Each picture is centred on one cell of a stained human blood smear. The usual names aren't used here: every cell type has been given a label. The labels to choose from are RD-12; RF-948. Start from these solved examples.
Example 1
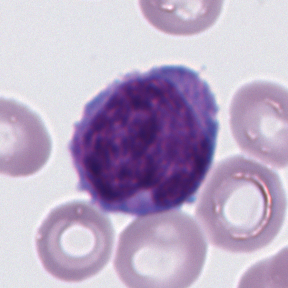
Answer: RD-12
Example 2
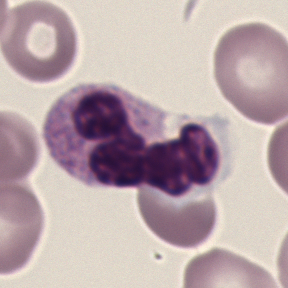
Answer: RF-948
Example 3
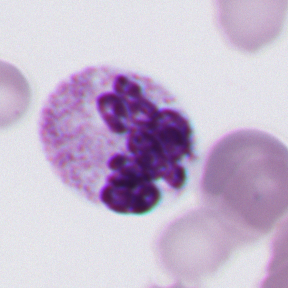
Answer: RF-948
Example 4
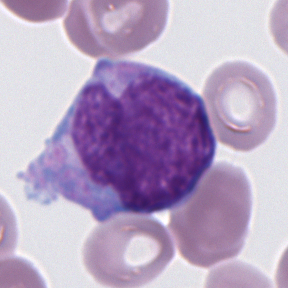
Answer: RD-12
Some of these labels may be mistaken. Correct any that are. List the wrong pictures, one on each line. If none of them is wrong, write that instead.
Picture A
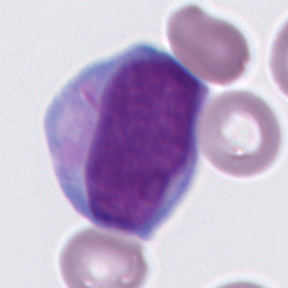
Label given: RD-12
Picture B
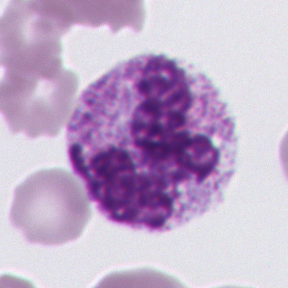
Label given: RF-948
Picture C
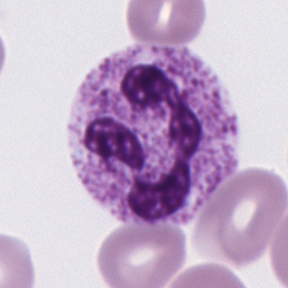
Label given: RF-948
Every label is right.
